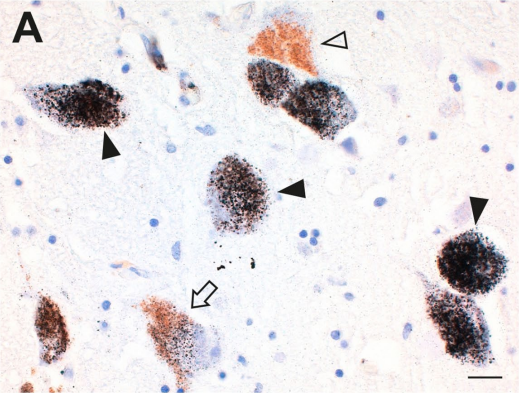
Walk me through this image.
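A few show only brown pigment with few or no black grains. The neuropil between them is pale.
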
